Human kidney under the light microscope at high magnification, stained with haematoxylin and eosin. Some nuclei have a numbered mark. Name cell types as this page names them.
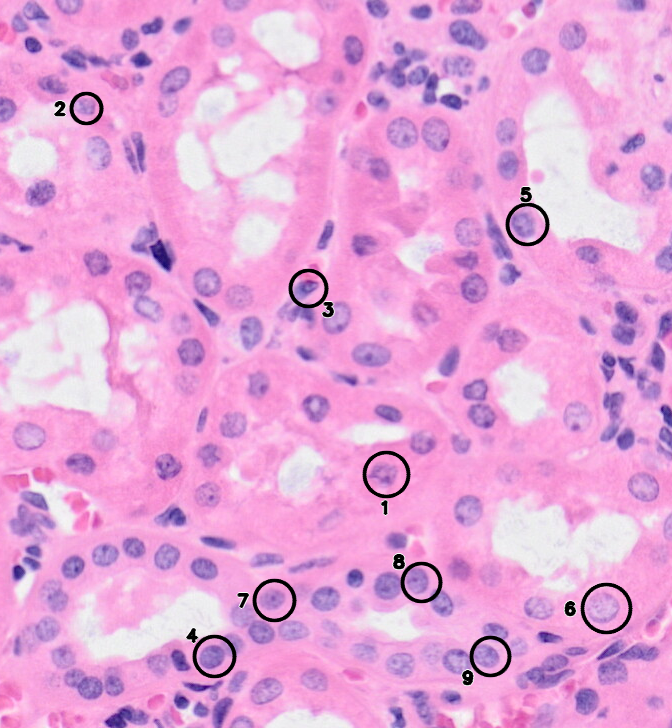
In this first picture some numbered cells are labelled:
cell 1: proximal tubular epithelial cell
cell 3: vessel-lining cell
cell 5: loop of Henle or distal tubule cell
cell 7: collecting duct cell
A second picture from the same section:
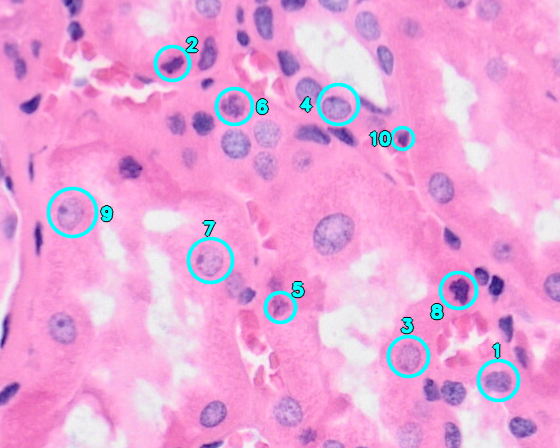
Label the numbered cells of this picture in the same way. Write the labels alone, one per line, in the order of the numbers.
loop of Henle or distal tubule cell
proximal tubular epithelial cell
proximal tubular epithelial cell
collecting duct cell
proximal tubular epithelial cell
loop of Henle or distal tubule cell
proximal tubular epithelial cell
proximal tubular epithelial cell
proximal tubular epithelial cell
vessel-lining cell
